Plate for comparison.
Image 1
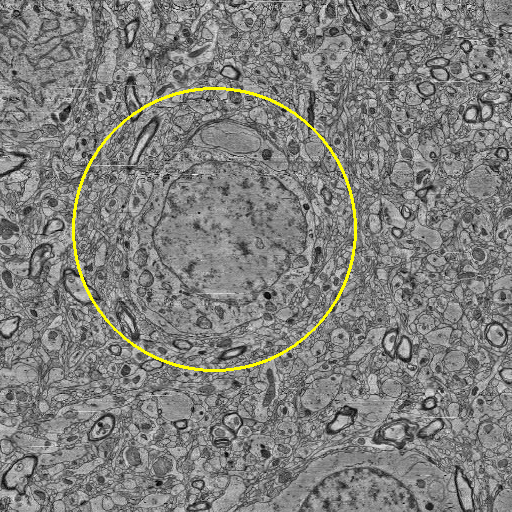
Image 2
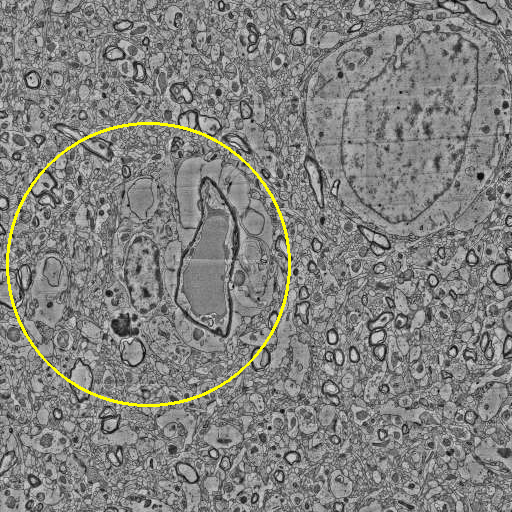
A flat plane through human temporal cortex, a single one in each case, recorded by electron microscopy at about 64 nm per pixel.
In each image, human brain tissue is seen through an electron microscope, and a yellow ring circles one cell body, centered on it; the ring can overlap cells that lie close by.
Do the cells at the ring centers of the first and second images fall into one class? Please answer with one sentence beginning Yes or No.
No, the first and second images show two classes of cell at the ring centers.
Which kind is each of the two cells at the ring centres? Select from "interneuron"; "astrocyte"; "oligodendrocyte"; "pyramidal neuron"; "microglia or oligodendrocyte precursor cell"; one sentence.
The cell at the centre of the ring is a pyramidal neuron in the first picture and a microglial cell or oligodendrocyte precursor cell in the second.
